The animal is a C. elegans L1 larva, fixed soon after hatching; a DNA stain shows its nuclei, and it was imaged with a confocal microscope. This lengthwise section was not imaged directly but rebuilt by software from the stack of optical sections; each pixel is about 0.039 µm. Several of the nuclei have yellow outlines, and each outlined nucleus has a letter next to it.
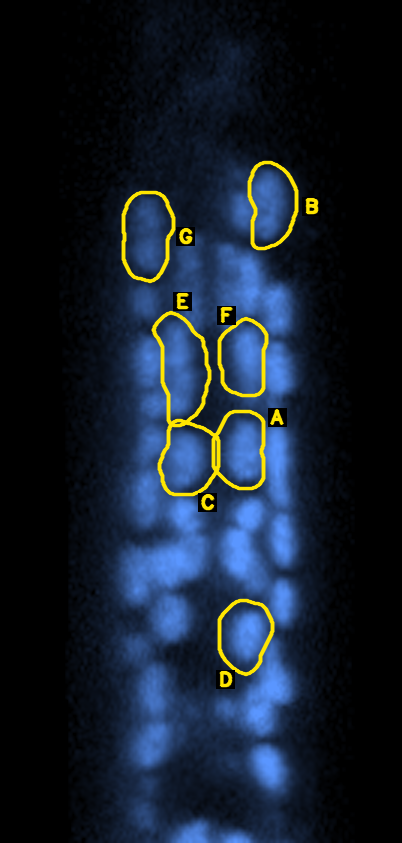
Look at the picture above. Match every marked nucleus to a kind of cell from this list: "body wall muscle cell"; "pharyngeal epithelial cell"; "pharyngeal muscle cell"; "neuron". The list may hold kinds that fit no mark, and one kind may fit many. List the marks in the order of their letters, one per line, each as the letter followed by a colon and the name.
A: neuron
B: body wall muscle cell
C: neuron
D: neuron
E: pharyngeal epithelial cell
F: pharyngeal epithelial cell
G: body wall muscle cell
